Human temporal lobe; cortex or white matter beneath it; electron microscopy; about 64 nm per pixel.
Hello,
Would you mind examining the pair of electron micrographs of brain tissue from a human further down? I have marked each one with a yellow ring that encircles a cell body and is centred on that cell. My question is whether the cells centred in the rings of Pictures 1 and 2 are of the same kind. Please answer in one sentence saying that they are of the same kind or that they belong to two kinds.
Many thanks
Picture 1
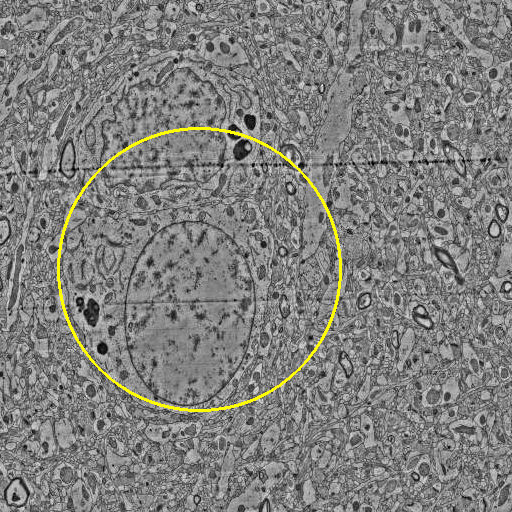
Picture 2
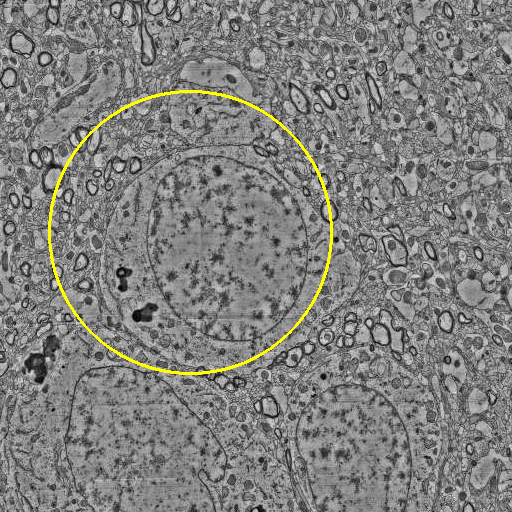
In Pictures 1 and 2, the cells at the heart of the rings are of the same kind.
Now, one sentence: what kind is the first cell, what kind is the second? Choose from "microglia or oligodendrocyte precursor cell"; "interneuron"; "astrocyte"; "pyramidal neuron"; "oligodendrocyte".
The first and the second cell are each a pyramidal neuron.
